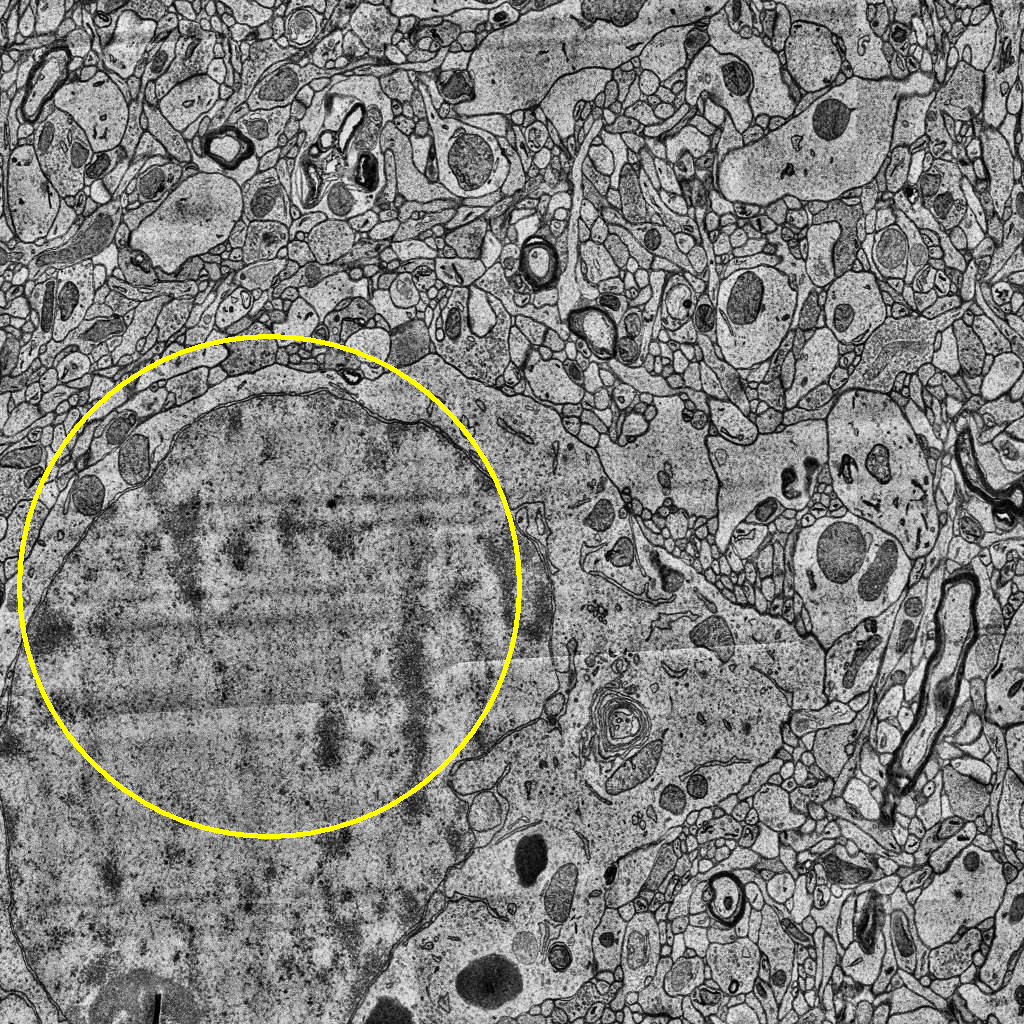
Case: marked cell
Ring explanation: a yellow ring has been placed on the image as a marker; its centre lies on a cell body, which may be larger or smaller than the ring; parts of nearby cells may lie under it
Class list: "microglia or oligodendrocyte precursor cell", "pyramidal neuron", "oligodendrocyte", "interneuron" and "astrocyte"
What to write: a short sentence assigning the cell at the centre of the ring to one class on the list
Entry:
The cell at the ring's centre is an interneuron.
